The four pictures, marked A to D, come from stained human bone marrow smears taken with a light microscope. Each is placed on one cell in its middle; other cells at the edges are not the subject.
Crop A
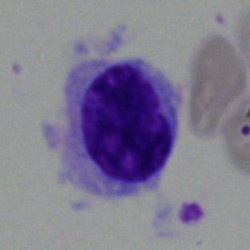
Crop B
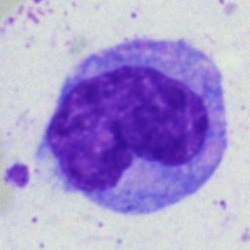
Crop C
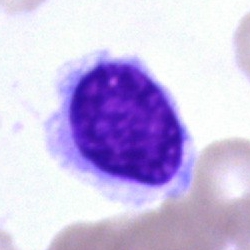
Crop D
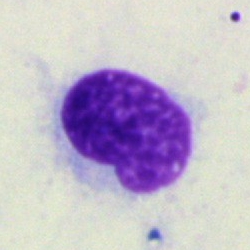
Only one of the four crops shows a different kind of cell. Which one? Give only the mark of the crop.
B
